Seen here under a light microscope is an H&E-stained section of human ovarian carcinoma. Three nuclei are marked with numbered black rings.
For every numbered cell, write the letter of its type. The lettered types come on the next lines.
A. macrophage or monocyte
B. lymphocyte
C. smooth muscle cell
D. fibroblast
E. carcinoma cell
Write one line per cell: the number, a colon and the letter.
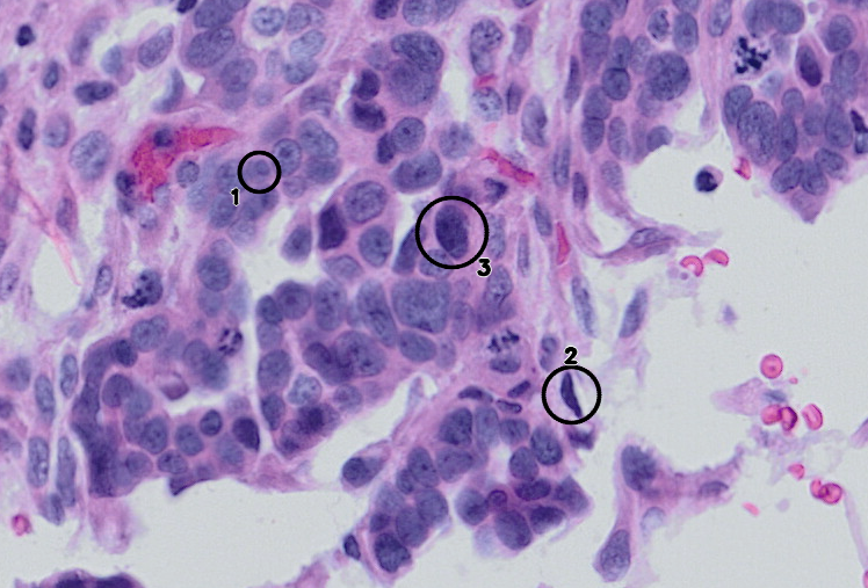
1: E
2: D
3: E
